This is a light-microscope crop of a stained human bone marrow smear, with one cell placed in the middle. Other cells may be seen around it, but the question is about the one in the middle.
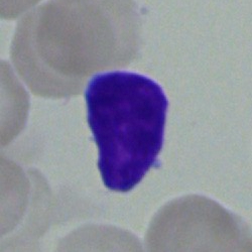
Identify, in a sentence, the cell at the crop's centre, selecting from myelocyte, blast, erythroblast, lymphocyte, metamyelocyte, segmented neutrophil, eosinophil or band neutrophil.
The centered cell in this crop is a lymphocyte.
